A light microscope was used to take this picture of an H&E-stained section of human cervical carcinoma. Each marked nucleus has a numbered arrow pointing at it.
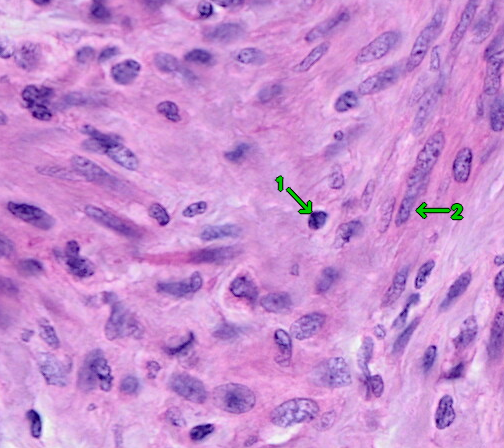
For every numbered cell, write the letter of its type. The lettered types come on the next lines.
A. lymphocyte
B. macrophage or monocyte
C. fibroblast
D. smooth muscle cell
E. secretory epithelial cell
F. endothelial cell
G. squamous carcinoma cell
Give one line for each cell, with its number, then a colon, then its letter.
1: A
2: D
